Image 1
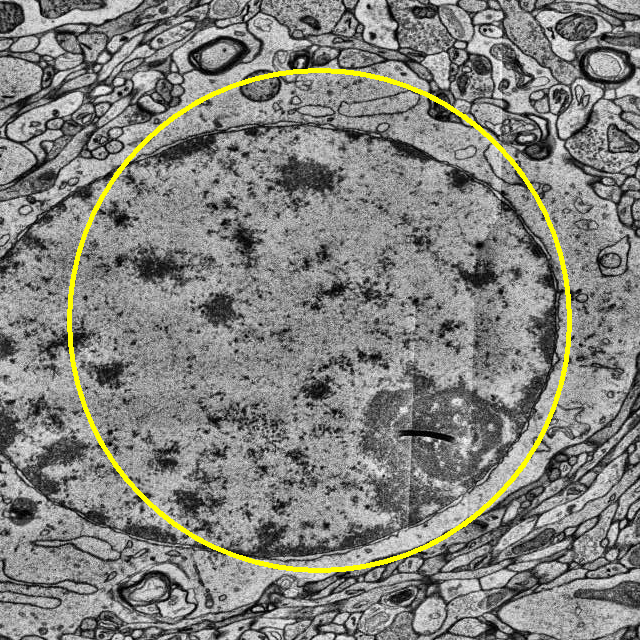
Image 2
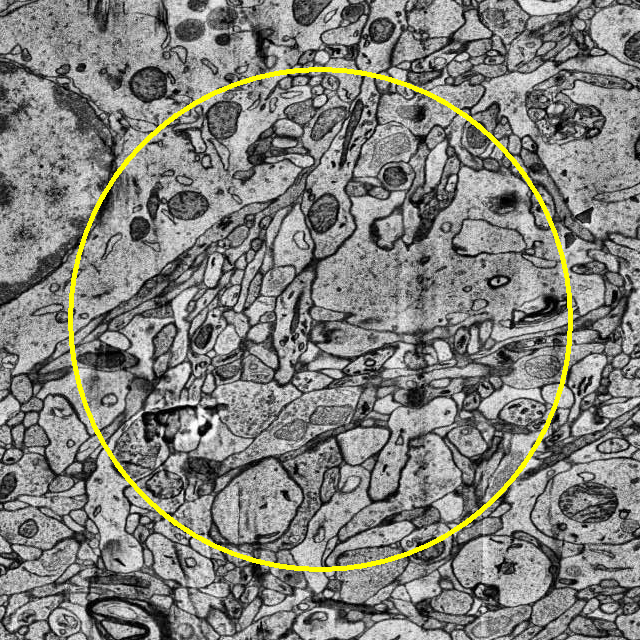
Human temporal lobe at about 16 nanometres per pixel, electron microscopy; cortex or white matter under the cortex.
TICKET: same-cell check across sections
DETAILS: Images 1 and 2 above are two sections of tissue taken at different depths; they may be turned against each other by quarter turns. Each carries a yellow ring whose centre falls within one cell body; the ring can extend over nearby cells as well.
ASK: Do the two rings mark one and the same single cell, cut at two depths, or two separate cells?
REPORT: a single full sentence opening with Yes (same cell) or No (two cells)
Yes, the marked cell is the same in both rings.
